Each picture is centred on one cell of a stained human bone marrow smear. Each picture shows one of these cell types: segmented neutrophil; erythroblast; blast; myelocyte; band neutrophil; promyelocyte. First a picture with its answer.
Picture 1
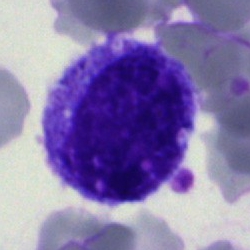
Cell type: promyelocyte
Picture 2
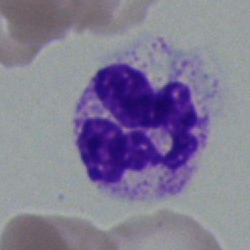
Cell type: segmented neutrophil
